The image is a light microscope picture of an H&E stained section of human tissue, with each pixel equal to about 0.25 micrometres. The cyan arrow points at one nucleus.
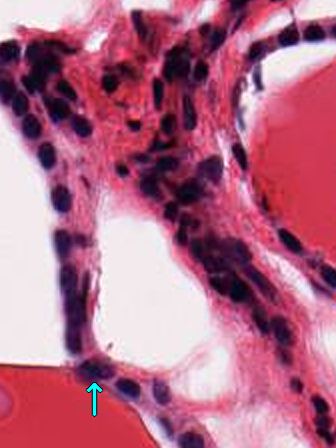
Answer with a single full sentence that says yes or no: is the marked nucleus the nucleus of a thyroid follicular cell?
Yes, the marked nucleus is the nucleus belonging to a thyroid follicular cell.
